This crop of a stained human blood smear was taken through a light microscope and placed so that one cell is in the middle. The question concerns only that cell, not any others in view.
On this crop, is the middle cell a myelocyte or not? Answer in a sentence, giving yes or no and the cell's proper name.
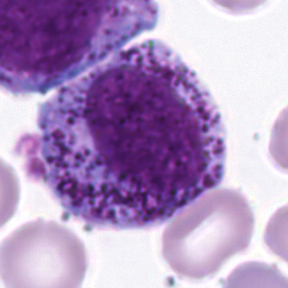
Yes, the centre of the crop holds a myelocyte.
